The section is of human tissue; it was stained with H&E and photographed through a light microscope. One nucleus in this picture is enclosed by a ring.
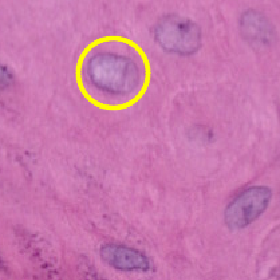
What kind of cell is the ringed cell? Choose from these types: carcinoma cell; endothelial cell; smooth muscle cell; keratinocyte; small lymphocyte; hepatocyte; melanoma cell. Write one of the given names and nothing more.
keratinocyte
